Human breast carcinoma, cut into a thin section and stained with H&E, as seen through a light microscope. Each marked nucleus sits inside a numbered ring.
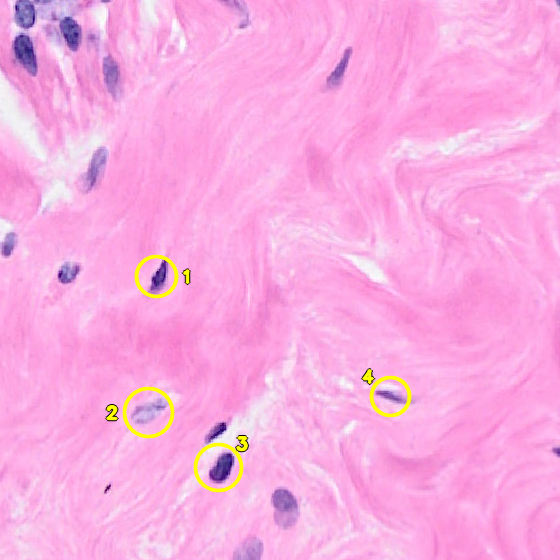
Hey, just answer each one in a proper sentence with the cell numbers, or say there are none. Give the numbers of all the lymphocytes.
The only cell among those numbered to be a lymphocyte is number 3.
